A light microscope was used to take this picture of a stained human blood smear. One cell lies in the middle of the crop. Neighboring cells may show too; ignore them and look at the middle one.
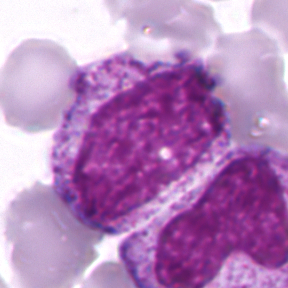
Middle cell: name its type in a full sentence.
Classification of the middle cell gives a myelocyte.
